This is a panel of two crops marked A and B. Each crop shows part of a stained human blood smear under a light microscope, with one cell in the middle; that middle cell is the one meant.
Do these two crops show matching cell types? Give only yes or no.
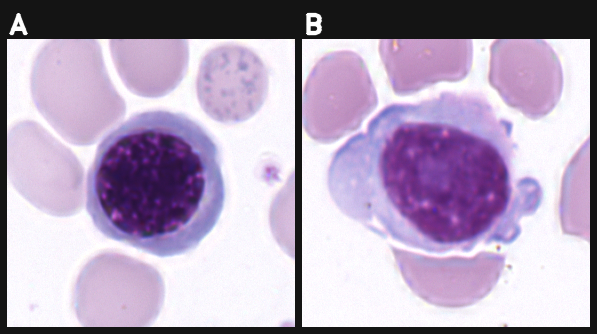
no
